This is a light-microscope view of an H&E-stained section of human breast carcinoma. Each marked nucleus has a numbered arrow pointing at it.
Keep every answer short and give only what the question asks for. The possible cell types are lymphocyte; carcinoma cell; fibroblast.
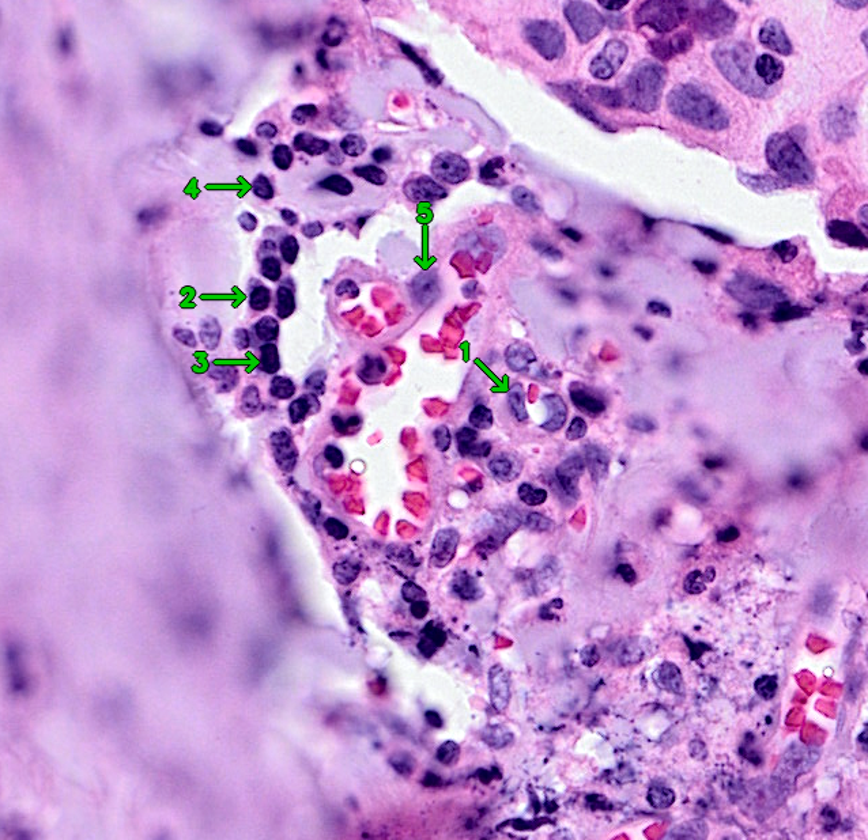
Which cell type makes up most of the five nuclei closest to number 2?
lymphocyte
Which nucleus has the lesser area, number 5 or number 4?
4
